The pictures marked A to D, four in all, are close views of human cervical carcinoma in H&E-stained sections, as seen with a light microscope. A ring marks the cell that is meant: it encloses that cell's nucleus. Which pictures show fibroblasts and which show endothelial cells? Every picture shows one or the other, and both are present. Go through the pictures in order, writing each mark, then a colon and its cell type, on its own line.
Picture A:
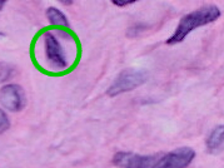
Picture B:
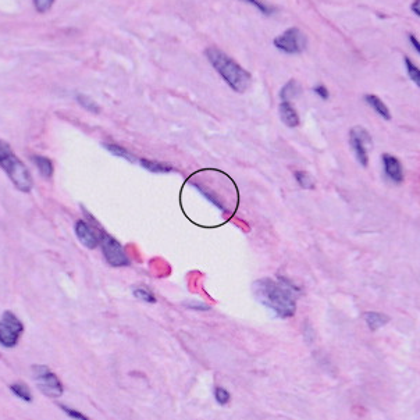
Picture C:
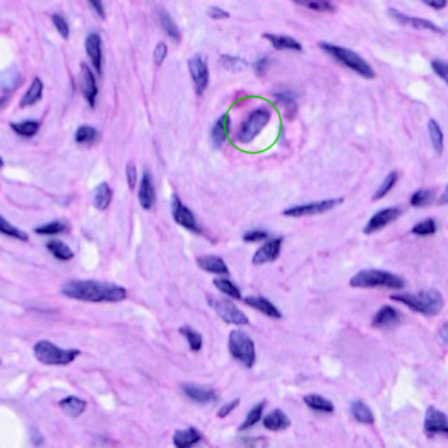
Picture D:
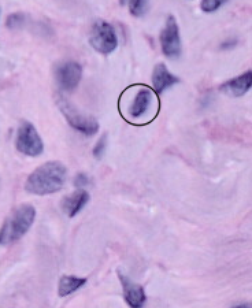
A: fibroblast
B: endothelial cell
C: endothelial cell
D: fibroblast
